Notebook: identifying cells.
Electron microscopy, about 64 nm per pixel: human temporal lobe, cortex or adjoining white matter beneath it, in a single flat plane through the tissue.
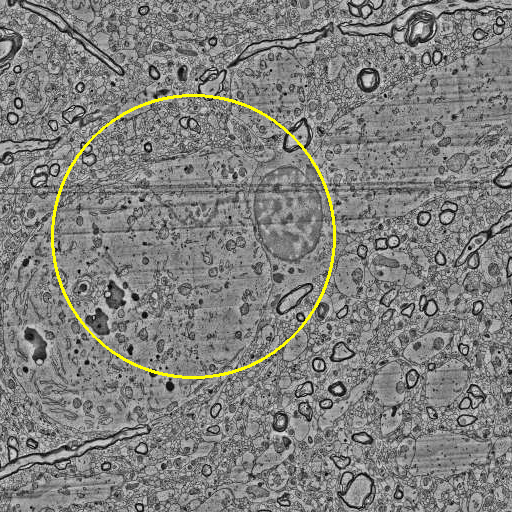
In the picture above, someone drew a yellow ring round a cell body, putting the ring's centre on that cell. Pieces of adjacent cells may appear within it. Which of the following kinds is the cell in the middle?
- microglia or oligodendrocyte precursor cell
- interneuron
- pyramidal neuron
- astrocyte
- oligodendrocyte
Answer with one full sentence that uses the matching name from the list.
In this picture, the yellow ring is centred on the body of a microglial cell or oligodendrocyte precursor cell.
